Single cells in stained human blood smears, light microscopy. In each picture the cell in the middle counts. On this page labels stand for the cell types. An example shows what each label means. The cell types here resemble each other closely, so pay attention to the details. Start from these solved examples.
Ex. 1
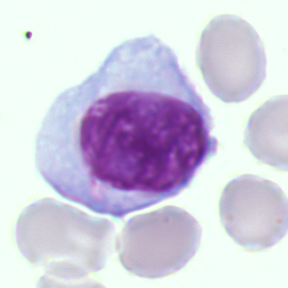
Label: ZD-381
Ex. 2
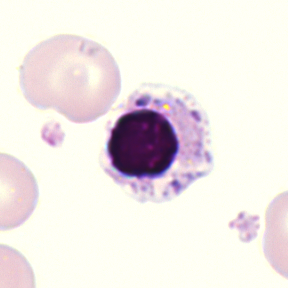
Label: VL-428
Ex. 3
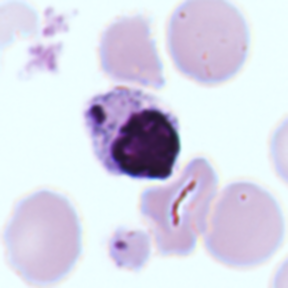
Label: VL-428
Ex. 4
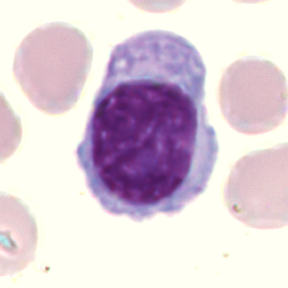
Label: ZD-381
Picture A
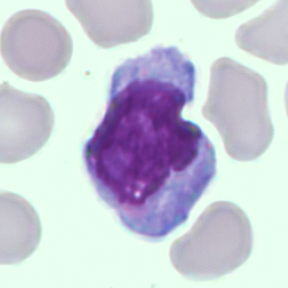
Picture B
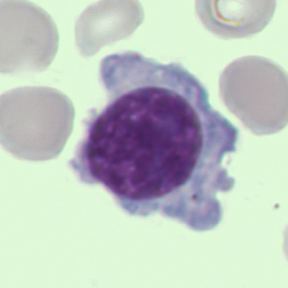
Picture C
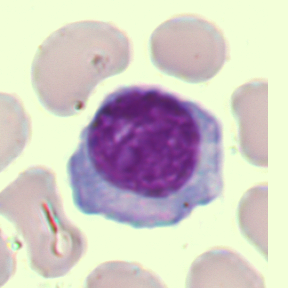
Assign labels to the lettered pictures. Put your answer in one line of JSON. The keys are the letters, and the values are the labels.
{"A": "ZD-381", "B": "ZD-381", "C": "ZD-381"}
